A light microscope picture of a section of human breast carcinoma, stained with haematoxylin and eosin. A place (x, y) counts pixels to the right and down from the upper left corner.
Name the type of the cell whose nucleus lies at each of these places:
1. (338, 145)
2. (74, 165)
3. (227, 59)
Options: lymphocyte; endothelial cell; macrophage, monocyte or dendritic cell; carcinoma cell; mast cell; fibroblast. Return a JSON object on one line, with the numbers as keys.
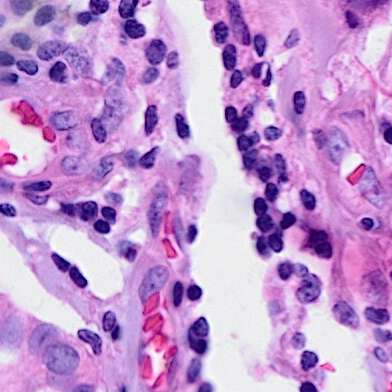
{"1": "endothelial cell", "2": "endothelial cell", "3": "lymphocyte"}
